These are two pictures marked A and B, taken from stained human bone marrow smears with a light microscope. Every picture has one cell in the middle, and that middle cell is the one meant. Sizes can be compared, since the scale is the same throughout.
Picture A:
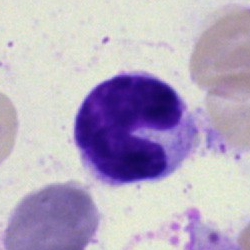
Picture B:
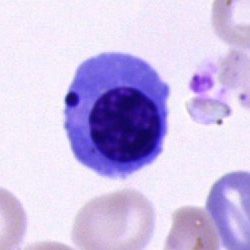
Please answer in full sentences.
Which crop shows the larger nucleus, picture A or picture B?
Larger is the nucleus in picture A, at roughly 2 times the area of the other.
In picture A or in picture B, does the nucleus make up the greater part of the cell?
The nucleus fills more of the cell in picture A than in picture B.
